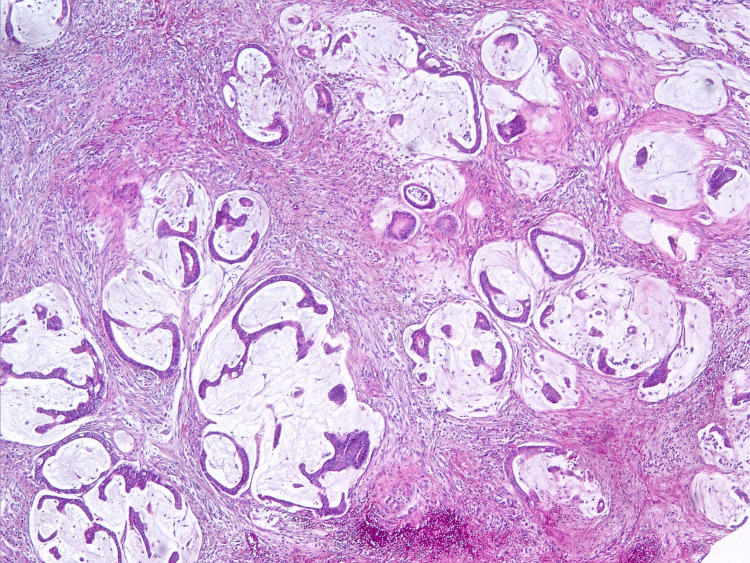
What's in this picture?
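The tumor consists of large rounded lakes of pale, wispy extracellular mucus. The lakes are separated by bands of pink fibrous stroma. Within the mucus float curved strips, rings and small clusters of dark purple epithelial tumor cells, some lining the edges of the pools and others lying free in their centres.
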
